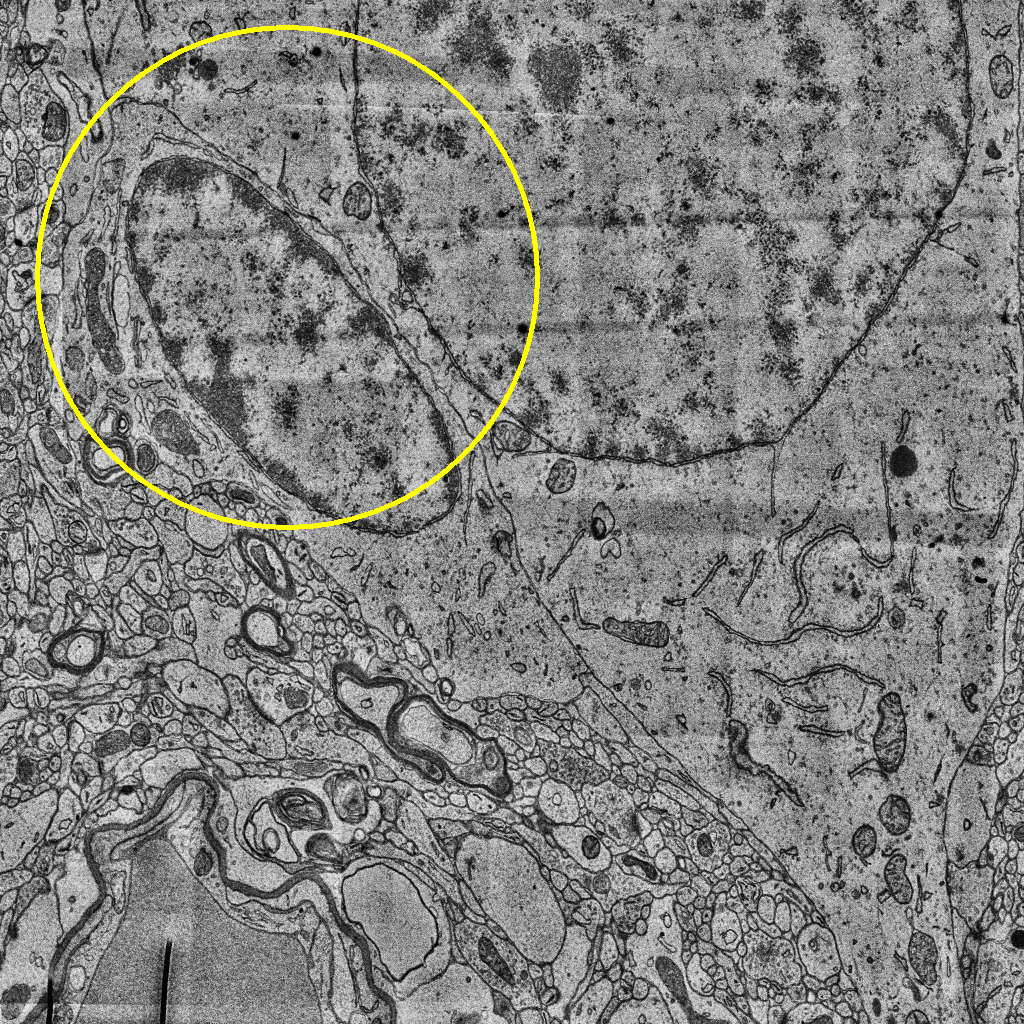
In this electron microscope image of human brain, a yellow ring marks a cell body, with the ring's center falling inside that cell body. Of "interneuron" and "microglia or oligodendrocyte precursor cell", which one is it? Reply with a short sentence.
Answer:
It is a microglial cell or oligodendrocyte precursor cell at the center of the ring.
